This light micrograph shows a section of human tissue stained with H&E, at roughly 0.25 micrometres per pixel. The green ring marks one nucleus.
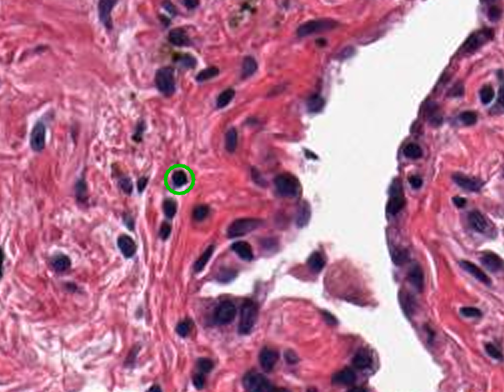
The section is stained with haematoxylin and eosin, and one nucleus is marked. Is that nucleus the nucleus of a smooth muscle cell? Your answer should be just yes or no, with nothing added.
no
